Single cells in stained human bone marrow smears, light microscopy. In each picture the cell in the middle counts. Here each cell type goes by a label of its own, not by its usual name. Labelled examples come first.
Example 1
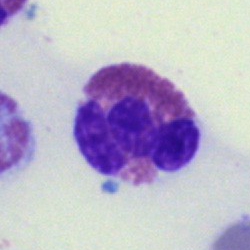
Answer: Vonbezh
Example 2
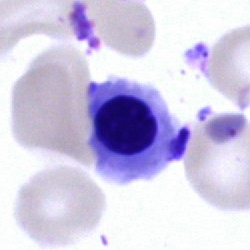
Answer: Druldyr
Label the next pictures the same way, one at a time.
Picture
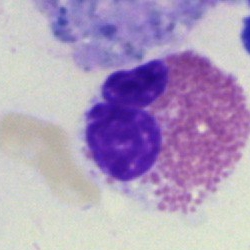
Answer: Vonbezh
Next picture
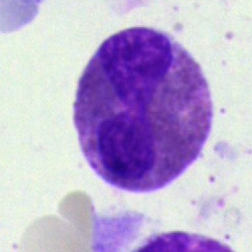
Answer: Vonbezh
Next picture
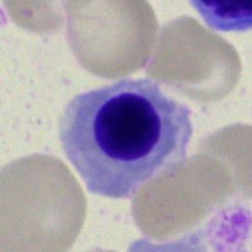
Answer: Druldyr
